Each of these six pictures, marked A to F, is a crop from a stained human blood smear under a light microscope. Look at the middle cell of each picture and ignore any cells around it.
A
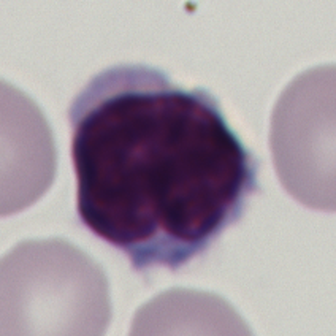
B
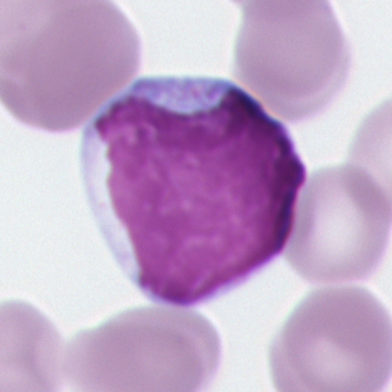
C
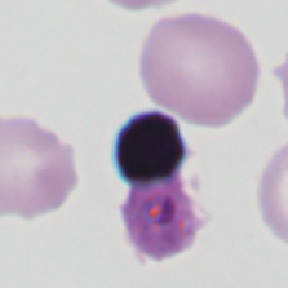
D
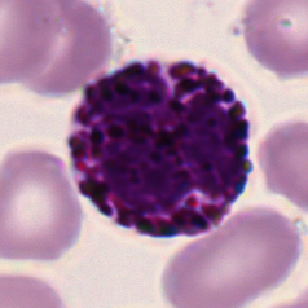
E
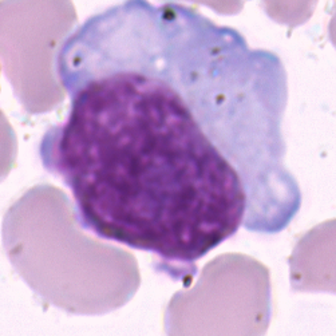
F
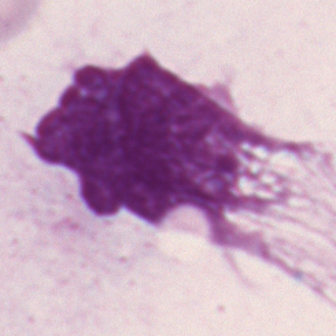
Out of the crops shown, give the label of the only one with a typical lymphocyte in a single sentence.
Crop A is the crop containing a typical lymphocyte.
